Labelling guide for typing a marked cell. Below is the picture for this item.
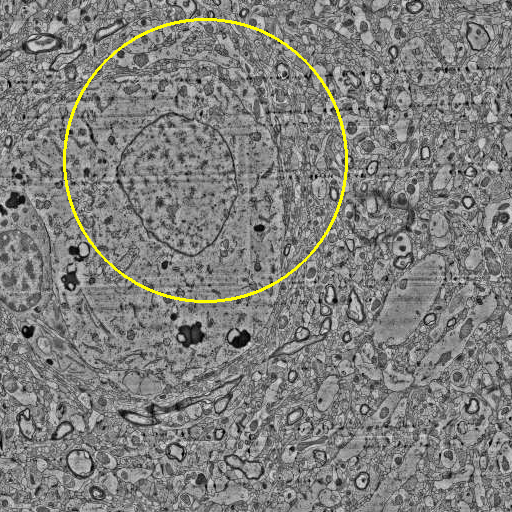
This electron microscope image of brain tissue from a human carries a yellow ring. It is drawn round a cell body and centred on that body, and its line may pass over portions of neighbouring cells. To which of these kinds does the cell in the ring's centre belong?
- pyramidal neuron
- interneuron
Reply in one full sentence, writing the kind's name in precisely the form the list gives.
Here we have a pyramidal neuron at the centre of the yellow ring in the picture.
